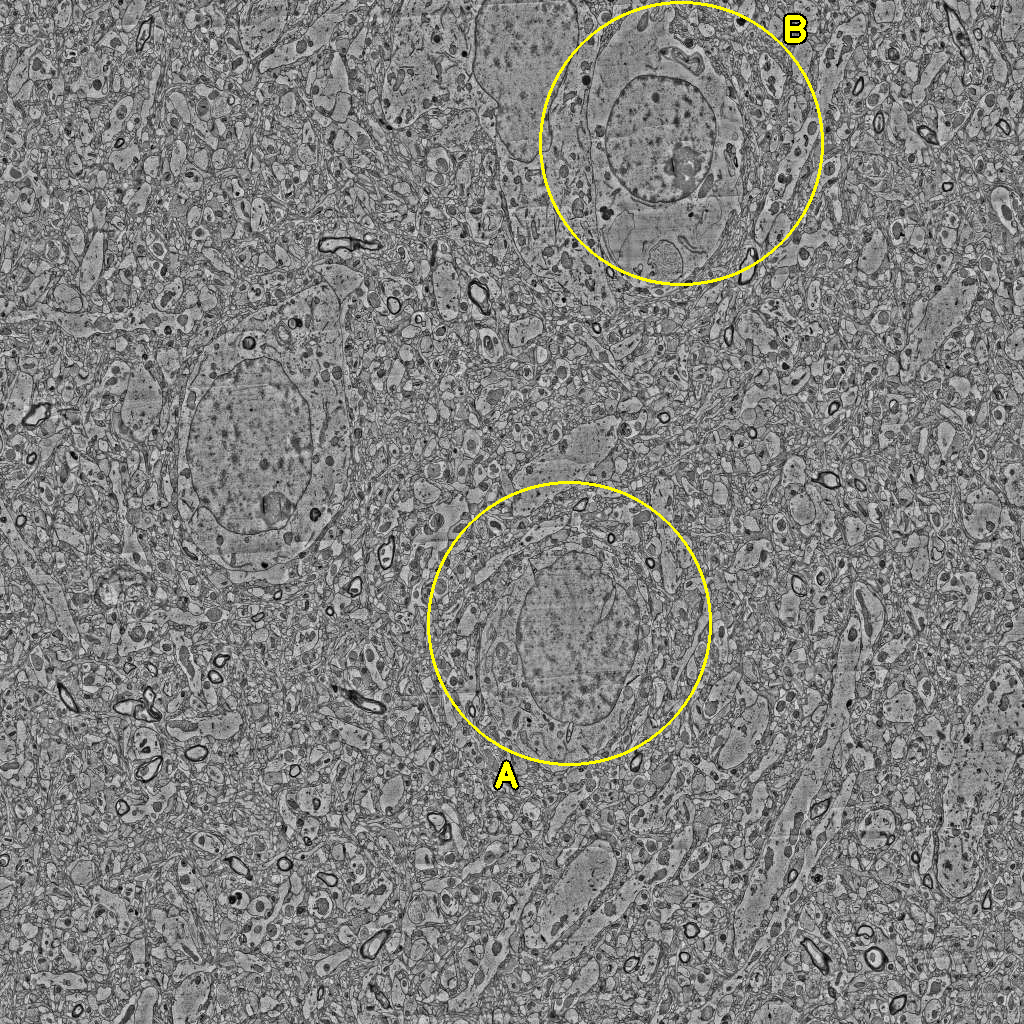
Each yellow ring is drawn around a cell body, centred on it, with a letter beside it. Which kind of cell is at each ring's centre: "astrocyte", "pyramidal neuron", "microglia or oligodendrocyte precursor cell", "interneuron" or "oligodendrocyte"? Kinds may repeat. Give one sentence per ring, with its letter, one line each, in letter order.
Ring A is centred on an interneuron.
Ring B is centred on an astrocyte.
